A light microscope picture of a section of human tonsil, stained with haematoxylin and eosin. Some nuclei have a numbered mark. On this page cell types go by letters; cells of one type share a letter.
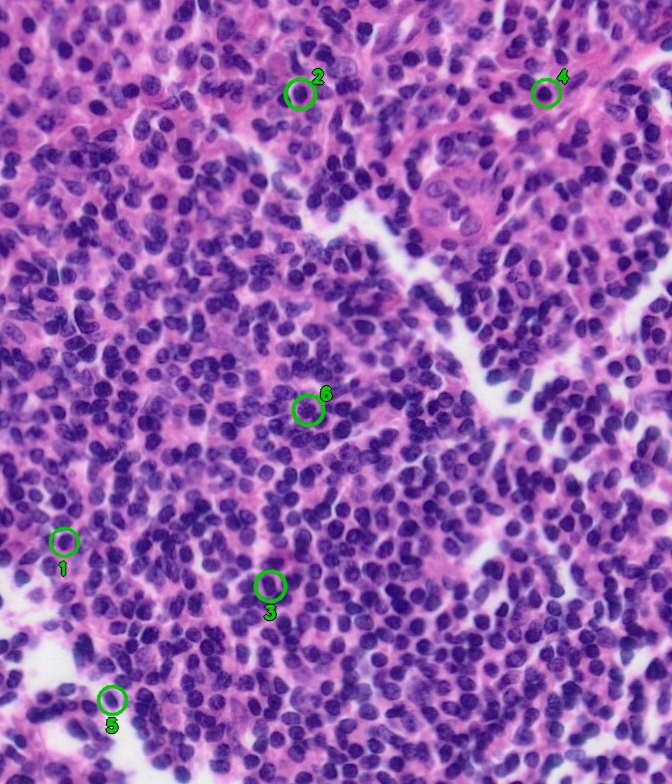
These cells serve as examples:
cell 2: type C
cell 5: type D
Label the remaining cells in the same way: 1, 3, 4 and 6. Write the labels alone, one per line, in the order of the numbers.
type D
type D
type C
type D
